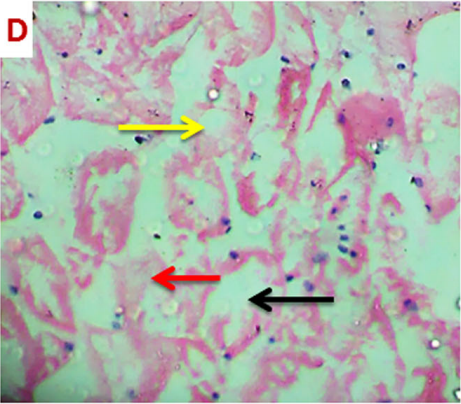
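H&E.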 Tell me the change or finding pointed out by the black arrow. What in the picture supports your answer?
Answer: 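Pale pink muscle bundles with cleared, vacuolated cytoplasm near the arrow.
Answer: vacuolar degeneration in muscle bundles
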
